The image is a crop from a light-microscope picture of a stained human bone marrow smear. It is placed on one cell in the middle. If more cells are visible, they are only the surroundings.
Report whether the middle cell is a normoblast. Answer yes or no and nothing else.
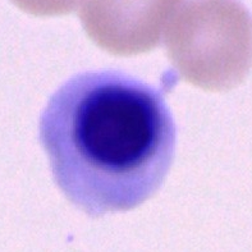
yes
